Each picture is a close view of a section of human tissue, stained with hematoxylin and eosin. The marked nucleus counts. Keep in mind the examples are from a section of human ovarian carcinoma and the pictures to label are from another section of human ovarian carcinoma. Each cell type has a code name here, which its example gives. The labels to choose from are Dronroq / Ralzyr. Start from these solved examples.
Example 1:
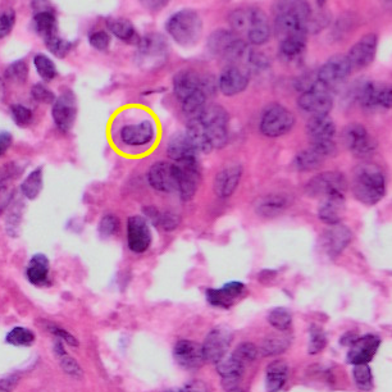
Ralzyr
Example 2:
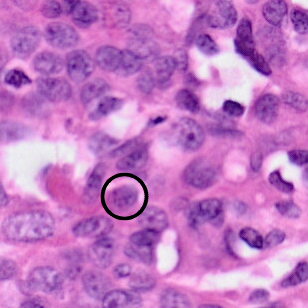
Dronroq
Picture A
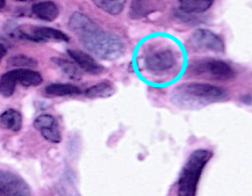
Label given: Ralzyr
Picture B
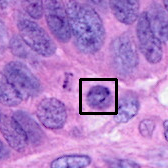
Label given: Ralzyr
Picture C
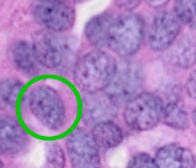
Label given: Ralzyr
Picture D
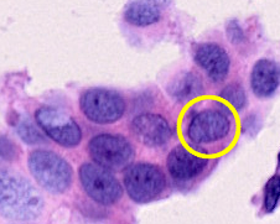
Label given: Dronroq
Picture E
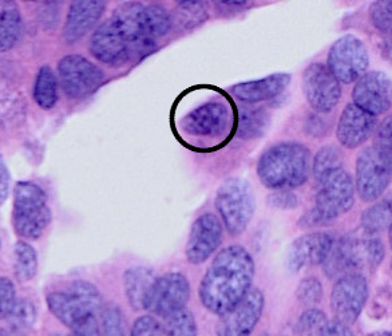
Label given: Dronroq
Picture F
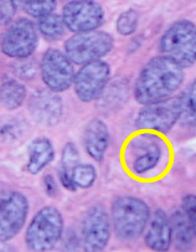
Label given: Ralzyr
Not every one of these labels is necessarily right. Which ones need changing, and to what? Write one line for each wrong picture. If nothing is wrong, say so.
C: Dronroq, not Ralzyr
